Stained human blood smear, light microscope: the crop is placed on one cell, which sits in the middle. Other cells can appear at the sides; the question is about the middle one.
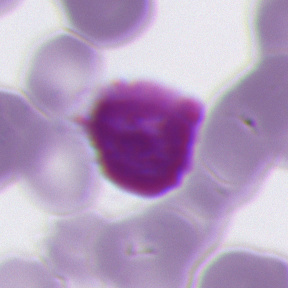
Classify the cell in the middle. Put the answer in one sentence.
Here the centrally located cell is a smudge cell.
